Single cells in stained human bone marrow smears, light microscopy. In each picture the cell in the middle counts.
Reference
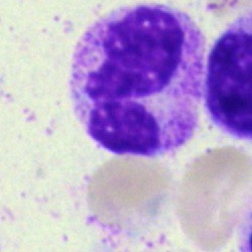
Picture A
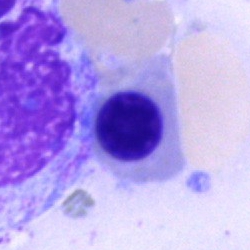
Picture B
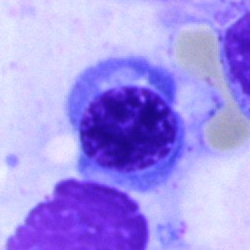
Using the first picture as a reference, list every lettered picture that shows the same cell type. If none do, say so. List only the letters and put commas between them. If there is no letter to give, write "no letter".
no letter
